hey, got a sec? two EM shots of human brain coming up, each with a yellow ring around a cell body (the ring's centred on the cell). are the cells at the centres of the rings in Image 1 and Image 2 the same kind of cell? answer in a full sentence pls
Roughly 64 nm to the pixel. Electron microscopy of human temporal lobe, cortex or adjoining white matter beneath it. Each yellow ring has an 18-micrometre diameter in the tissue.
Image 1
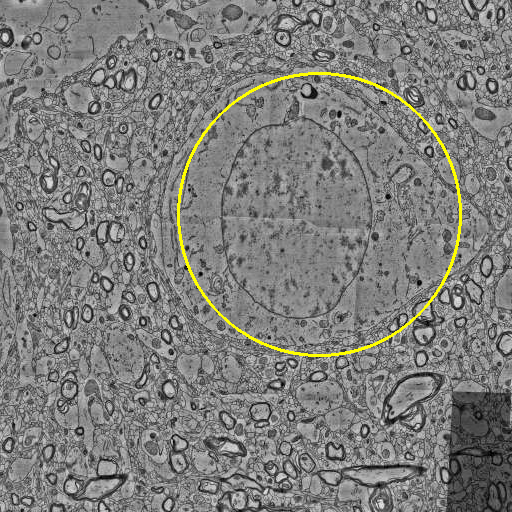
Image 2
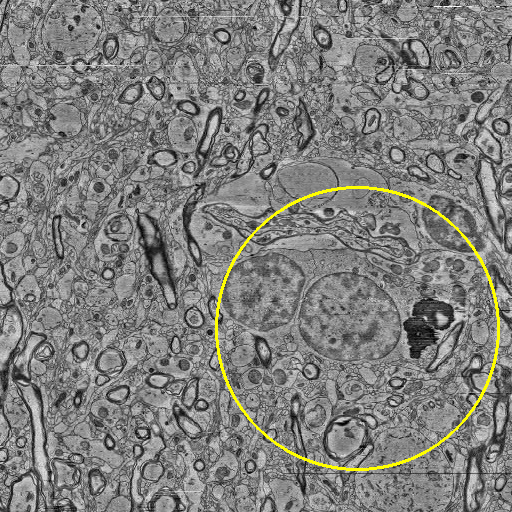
No, they are two kinds of cell.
